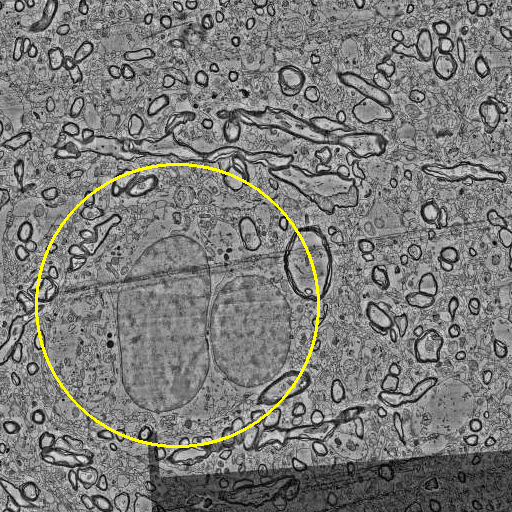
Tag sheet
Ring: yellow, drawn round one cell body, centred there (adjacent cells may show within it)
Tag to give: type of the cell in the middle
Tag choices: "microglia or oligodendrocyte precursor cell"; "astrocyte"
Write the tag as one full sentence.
I tag the cell centred in the yellow ring as a microglial cell or oligodendrocyte precursor cell in this picture.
